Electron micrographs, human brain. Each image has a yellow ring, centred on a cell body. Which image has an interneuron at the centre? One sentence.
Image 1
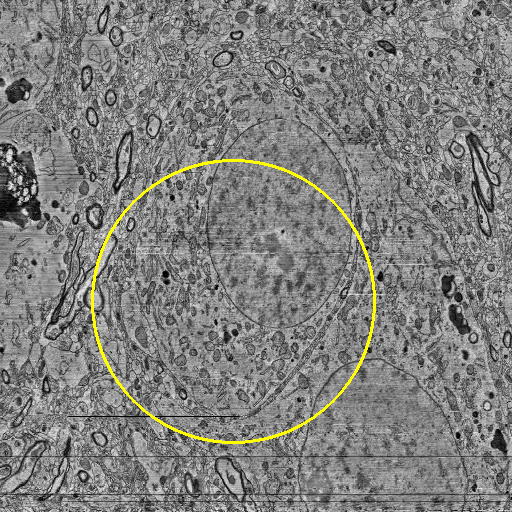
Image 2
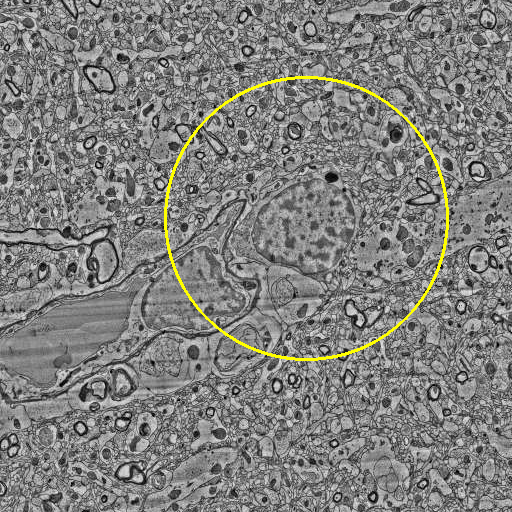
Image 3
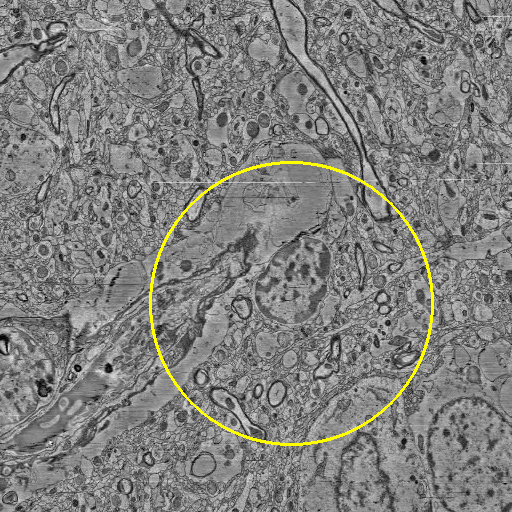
The ring in Image 1 is centred on it.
